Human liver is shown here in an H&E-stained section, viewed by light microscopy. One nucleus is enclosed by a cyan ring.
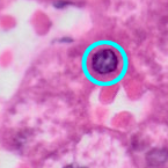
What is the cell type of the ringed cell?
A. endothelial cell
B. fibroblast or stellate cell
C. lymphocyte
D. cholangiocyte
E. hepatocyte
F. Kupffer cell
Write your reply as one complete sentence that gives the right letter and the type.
The item is answered by option E: the ringed cell is a hepatocyte.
